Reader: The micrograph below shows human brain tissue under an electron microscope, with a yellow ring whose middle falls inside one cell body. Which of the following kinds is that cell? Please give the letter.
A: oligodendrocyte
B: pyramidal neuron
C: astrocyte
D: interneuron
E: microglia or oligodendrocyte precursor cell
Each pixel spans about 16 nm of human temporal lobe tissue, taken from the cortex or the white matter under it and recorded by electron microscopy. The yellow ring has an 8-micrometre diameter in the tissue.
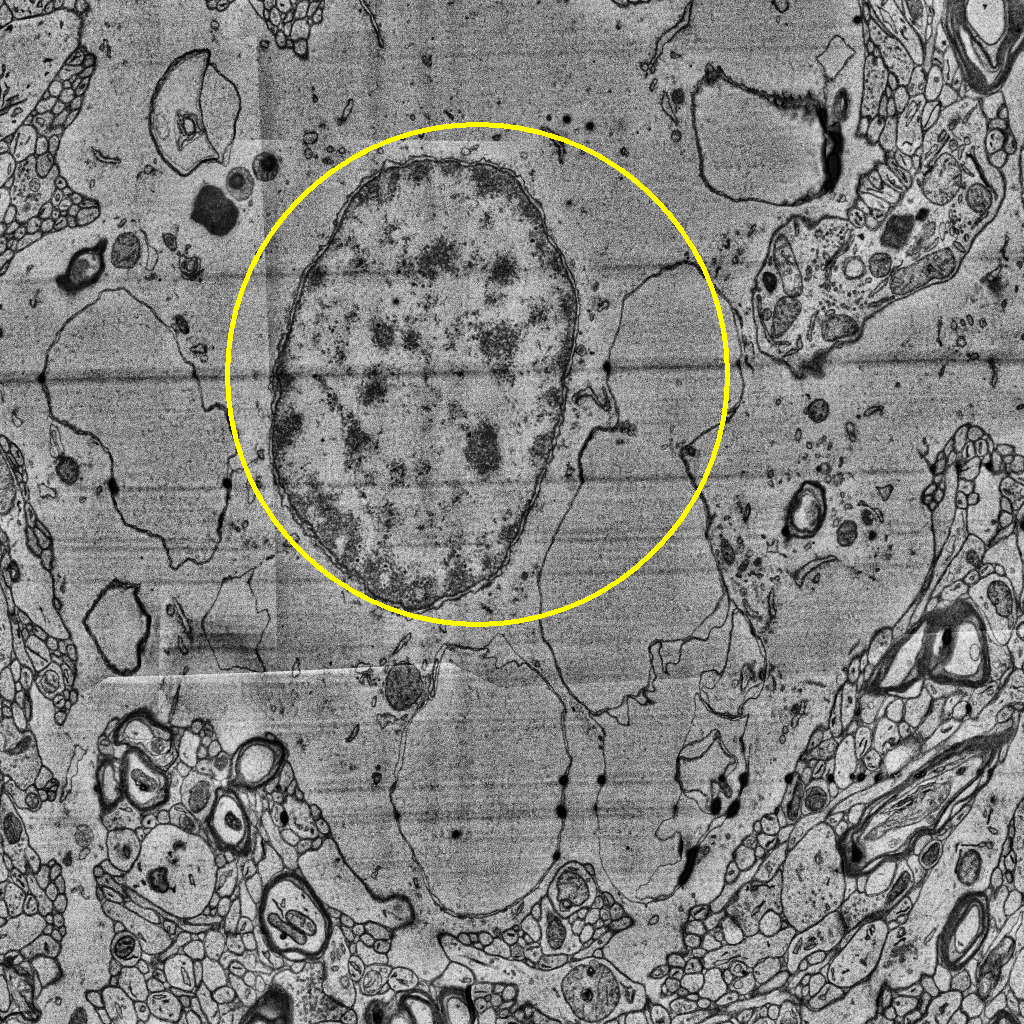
C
